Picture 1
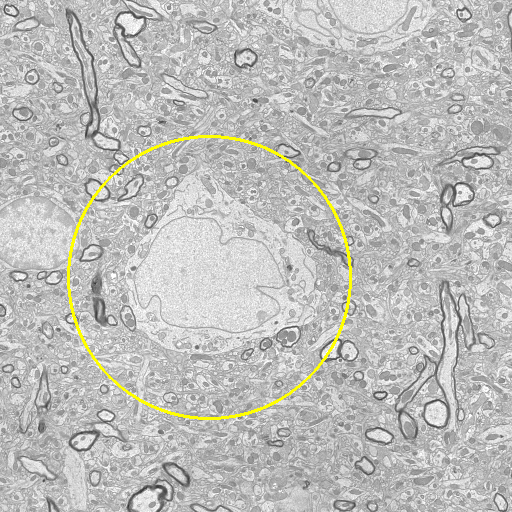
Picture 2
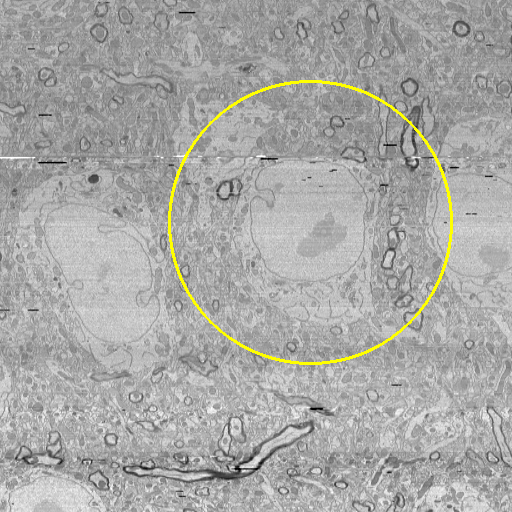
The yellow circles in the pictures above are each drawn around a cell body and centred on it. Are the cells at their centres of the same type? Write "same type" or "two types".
same type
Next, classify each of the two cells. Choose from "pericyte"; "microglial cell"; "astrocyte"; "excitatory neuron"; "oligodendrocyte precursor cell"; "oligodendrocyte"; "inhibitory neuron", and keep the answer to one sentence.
In each picture the ringed cell is an excitatory neuron.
